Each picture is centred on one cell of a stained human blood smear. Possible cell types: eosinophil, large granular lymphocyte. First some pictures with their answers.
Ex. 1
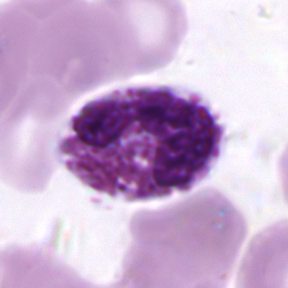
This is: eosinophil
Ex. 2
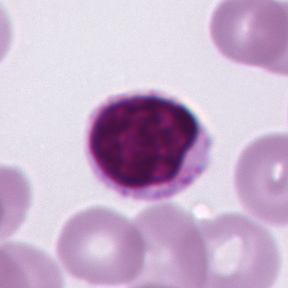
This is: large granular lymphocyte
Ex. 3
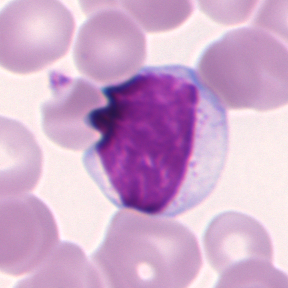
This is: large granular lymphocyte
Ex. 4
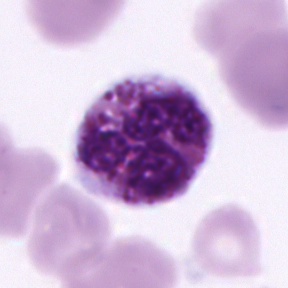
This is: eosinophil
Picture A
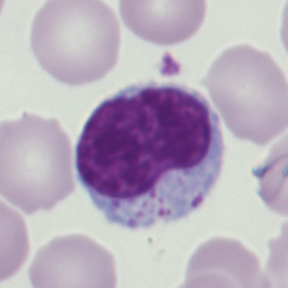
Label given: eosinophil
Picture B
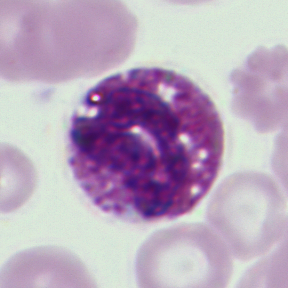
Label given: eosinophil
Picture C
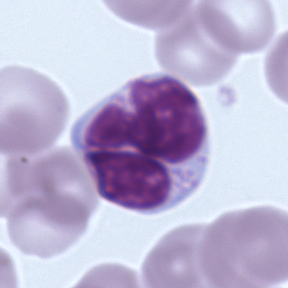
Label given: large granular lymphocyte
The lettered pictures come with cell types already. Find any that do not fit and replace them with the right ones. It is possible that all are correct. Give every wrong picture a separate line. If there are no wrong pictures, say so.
A: large granular lymphocyte, not eosinophil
